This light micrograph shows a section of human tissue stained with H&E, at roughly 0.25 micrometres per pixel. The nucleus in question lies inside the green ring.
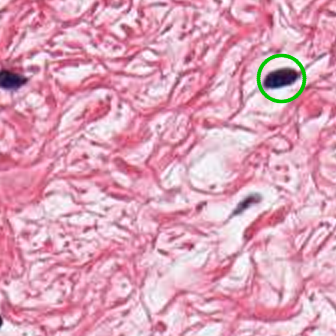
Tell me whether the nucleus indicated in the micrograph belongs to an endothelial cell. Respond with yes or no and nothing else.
no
